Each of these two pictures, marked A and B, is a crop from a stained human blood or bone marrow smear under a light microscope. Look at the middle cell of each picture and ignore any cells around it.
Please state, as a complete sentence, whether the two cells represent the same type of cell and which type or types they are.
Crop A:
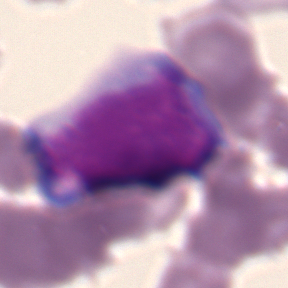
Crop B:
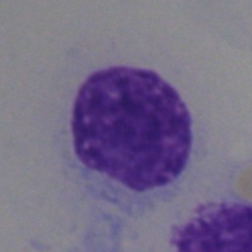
No, the cell of interest in crop A is a blast, and in crop B it is a hairy cell.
